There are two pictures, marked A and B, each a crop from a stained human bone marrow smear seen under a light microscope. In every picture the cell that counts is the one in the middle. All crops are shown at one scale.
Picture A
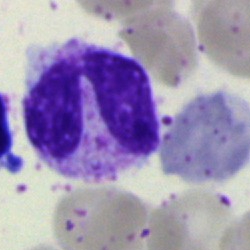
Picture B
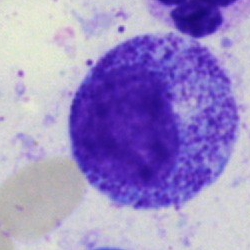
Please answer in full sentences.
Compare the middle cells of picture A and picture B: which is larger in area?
Larger is the cell in picture B, at roughly 1.5 times the area of the other.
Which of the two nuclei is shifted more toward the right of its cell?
Seen within its cell, the nucleus in picture A lies further toward the right.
